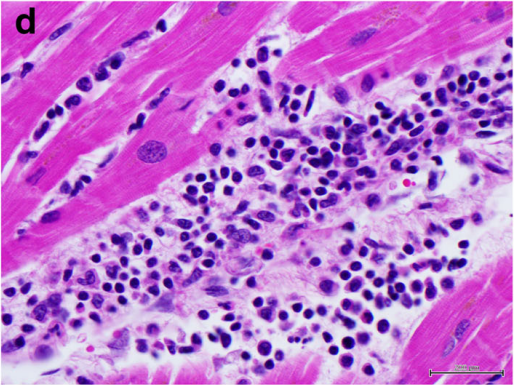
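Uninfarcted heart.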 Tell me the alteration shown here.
mononuclear interstitial infiltrates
